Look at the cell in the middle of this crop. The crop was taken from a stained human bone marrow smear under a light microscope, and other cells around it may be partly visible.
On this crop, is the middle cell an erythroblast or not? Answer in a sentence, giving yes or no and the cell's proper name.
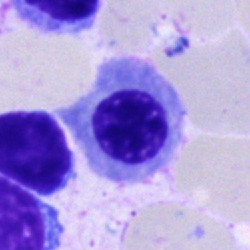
Yes, an erythroblast is what the central cell is.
